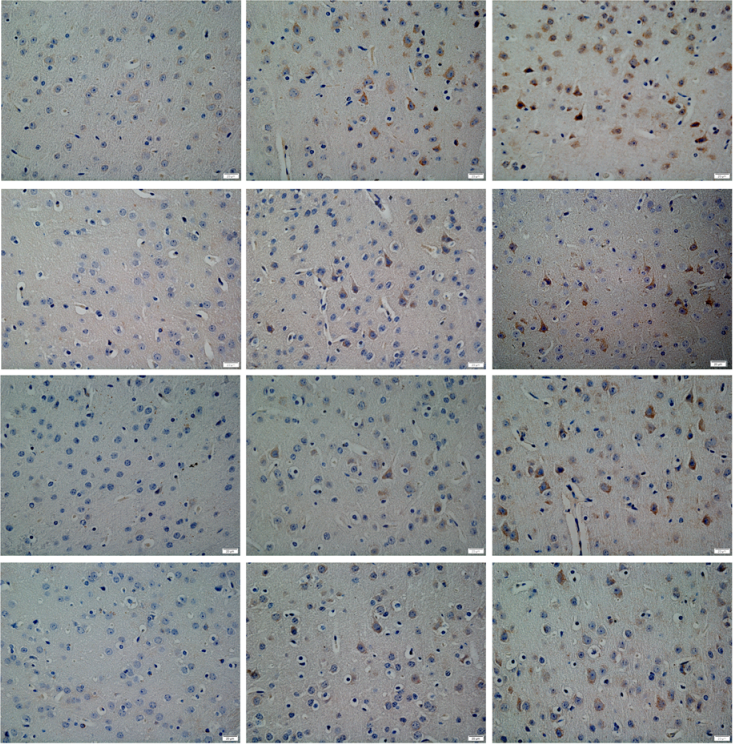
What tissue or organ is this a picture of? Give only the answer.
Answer: Cerebral cortex.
